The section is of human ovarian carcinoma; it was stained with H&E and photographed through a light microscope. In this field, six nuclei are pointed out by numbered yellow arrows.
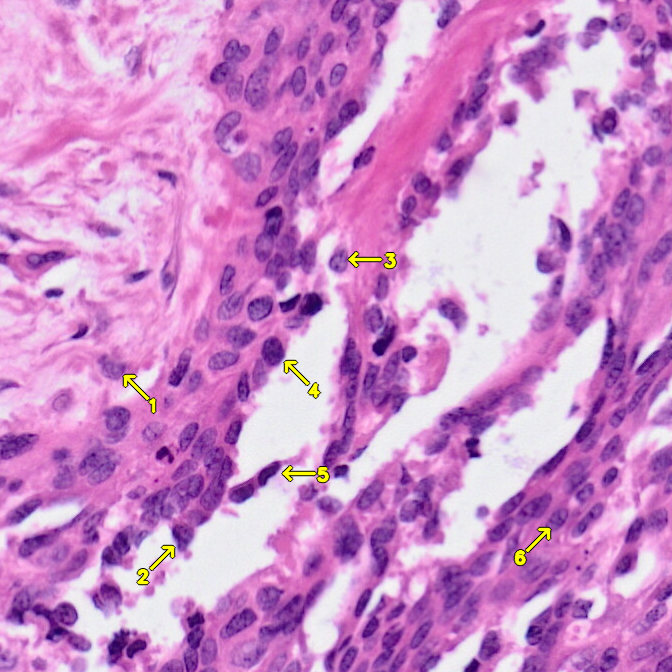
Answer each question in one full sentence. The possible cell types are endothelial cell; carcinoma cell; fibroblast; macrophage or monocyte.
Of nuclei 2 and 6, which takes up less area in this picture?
The smaller nucleus is 6, and 2 covers roughly 1.5 times its area.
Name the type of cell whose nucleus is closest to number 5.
It is a carcinoma cell whose nucleus is nearest to number 5.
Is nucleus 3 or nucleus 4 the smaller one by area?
The smaller nucleus is 3, and 4 covers roughly 1.5 times its area.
